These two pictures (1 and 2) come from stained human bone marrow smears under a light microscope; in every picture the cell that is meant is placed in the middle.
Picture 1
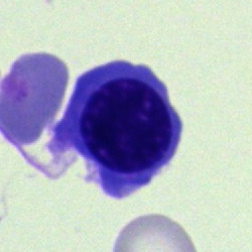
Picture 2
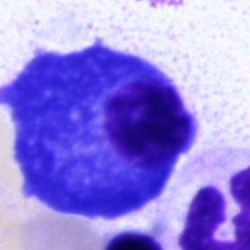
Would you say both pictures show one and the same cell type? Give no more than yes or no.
no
